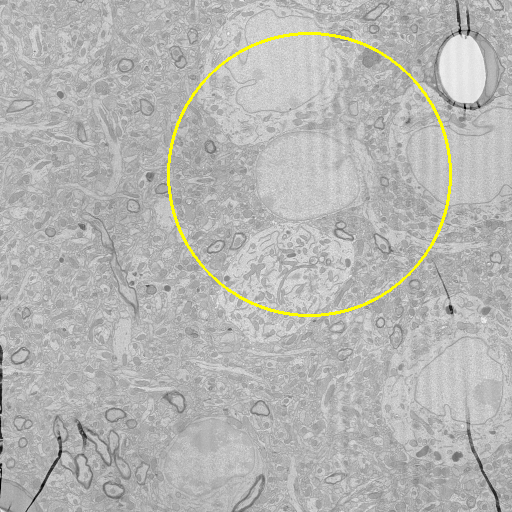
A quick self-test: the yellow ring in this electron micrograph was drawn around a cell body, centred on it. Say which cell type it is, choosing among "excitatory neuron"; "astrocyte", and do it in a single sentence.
The yellow-ringed cell is an astrocyte.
